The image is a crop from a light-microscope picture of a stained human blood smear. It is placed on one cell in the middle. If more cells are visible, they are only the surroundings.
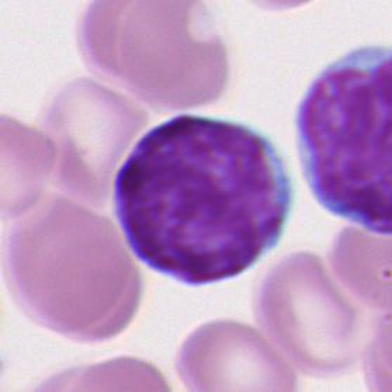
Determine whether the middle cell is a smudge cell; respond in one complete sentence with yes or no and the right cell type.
No, the central cell is classed as a typical lymphocyte and not as a smudge cell.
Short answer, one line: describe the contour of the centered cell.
In short, the margin is smooth with no projections at all.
